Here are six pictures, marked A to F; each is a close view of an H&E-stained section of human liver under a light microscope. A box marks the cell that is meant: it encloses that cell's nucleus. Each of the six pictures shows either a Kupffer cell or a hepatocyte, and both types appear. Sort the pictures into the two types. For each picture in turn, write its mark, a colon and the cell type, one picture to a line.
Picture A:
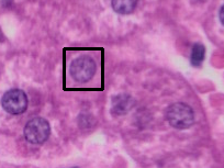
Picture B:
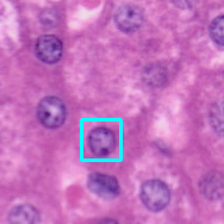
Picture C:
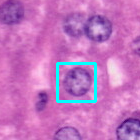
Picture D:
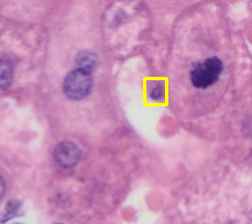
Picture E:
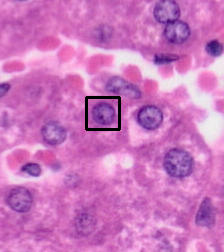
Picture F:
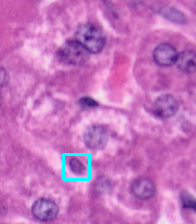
A: hepatocyte
B: hepatocyte
C: hepatocyte
D: Kupffer cell
E: hepatocyte
F: Kupffer cell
